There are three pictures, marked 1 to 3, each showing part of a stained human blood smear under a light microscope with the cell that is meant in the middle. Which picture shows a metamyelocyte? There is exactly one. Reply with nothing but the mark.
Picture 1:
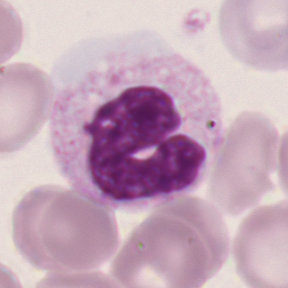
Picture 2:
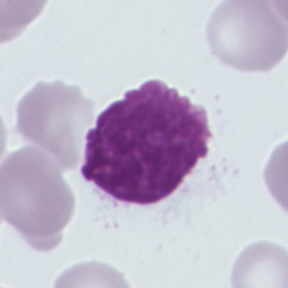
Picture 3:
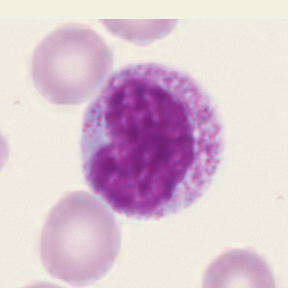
3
